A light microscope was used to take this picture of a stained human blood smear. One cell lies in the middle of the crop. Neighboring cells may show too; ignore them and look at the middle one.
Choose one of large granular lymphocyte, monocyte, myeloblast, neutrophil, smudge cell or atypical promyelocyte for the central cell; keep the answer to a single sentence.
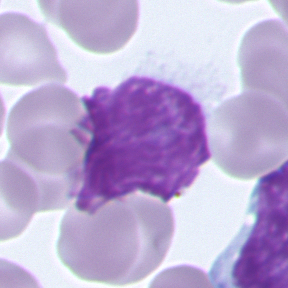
The centrally located cell in the crop is a smudge cell.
